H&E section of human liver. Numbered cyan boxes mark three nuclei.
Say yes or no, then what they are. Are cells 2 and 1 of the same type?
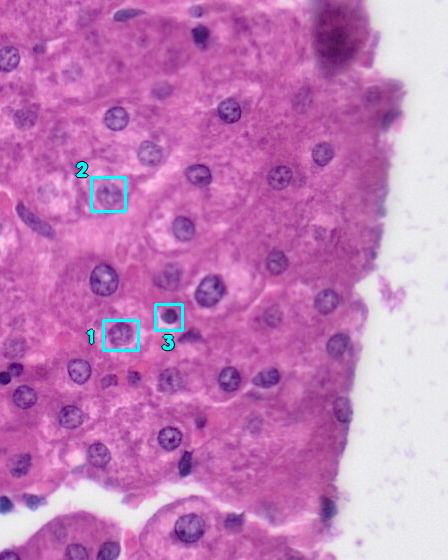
Yes, cells 2 and 1 are both termed hepatocytes.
